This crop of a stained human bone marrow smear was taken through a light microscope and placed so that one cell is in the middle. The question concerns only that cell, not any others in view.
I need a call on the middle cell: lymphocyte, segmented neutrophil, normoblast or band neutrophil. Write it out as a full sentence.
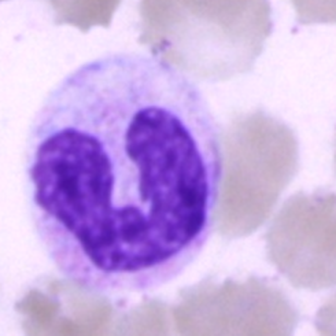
Framed in the middle of the crop is a band neutrophil.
